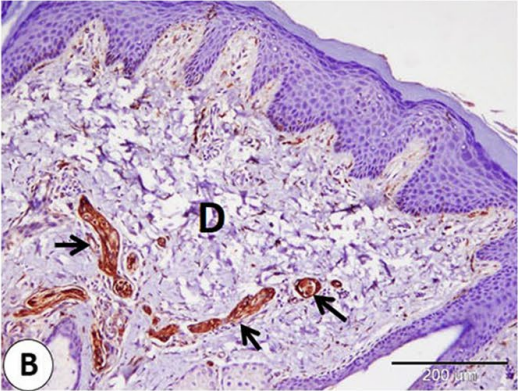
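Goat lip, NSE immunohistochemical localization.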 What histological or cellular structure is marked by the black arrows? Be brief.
nerves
